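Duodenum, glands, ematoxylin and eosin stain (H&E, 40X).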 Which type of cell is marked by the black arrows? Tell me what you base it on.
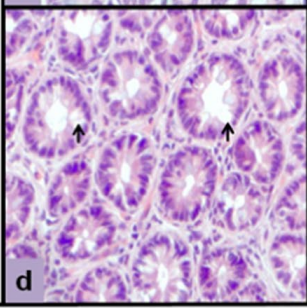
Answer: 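The arrows point to clear, unstained vacuole-like cells next to the gland lumen. The glands are round profiles lined by columnar epithelium with purple nuclei. So: goblet cells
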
